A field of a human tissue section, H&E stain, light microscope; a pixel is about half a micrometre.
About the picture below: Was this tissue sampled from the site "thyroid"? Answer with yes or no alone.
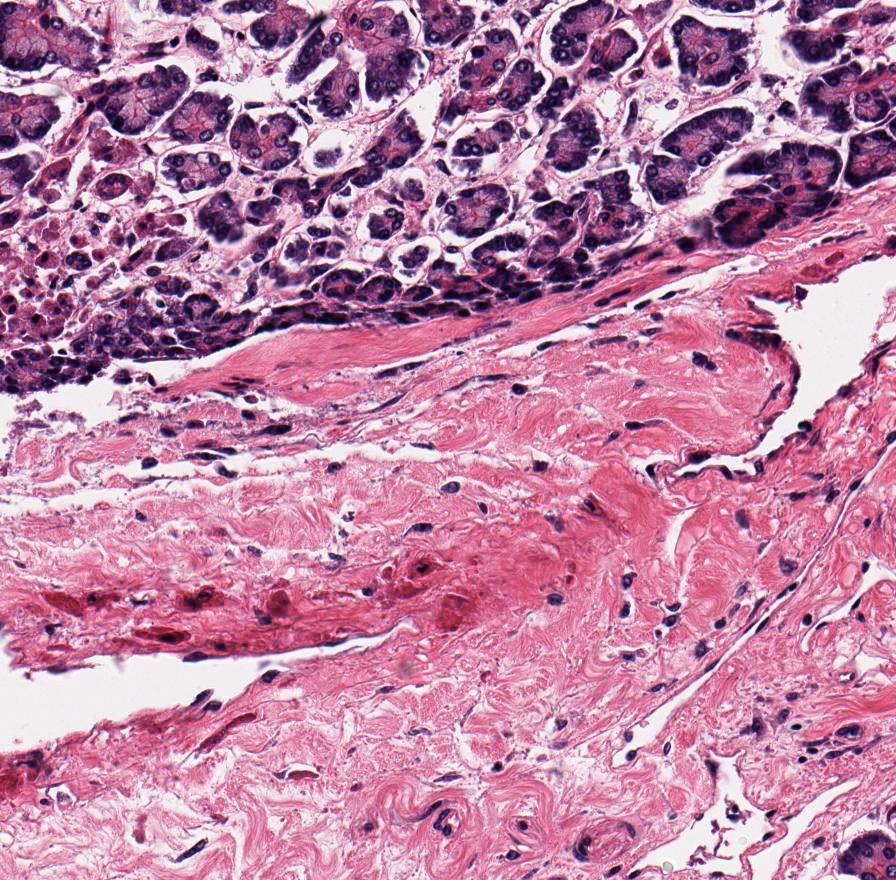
no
